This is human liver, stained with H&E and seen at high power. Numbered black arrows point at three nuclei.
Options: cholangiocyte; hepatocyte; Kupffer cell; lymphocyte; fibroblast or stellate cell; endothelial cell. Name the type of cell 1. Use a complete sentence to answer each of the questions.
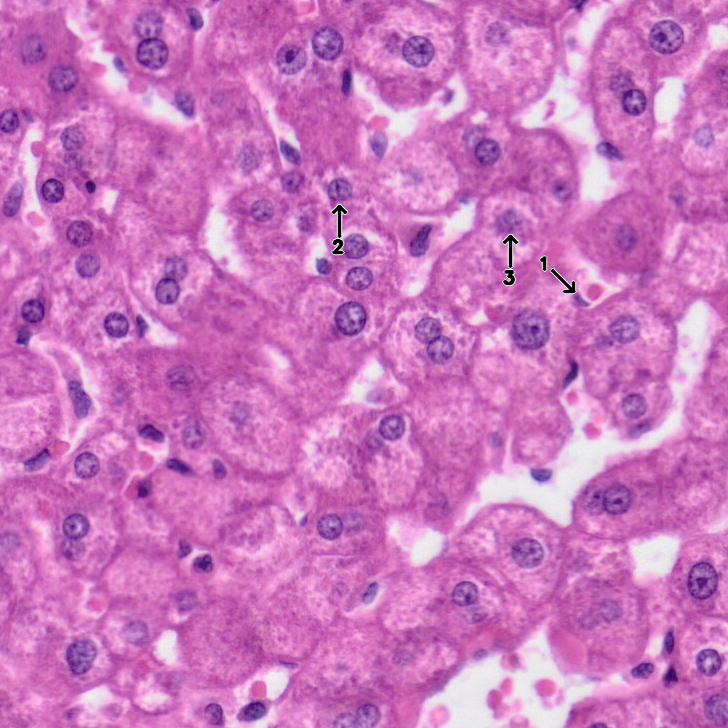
Looking at the numbered marks, cell 1 is an endothelial cell.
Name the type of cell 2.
In this section, number 2 marks a hepatocyte.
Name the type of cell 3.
The marked nucleus 3 is that of a hepatocyte.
